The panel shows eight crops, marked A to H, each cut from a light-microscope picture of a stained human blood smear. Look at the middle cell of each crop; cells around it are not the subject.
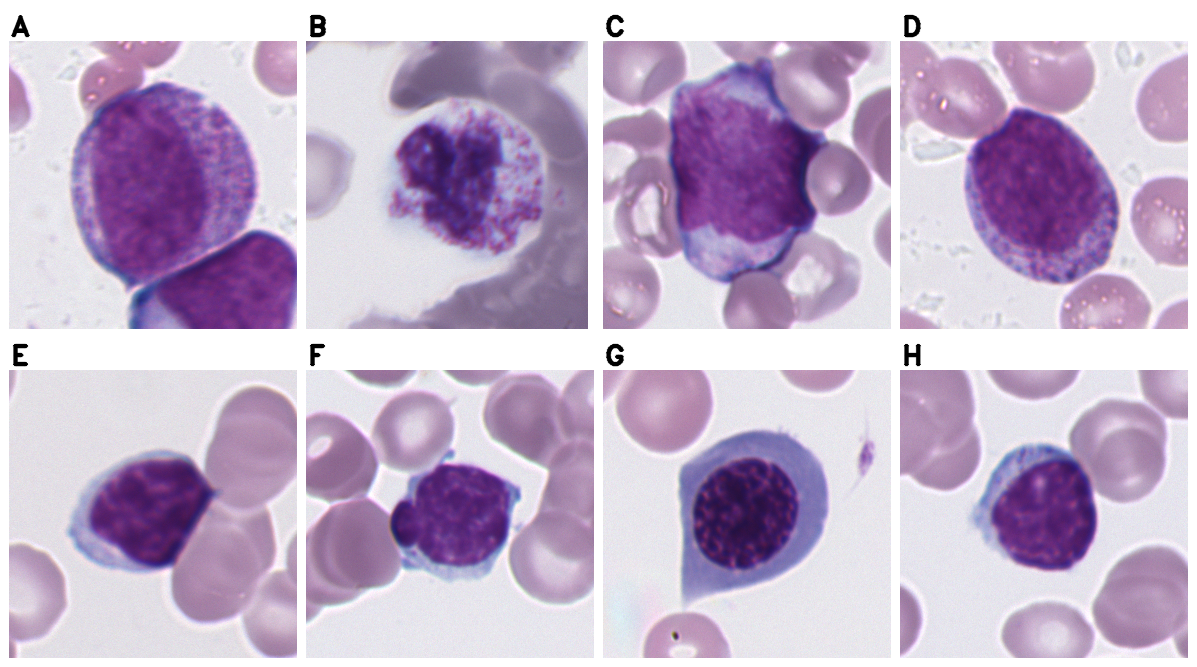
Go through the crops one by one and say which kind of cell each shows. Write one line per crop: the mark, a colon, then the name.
A: promyelocyte
B: basophil
C: atypical promyelocyte
D: myelocyte
E: typical lymphocyte
F: typical lymphocyte
G: normoblast
H: typical lymphocyte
